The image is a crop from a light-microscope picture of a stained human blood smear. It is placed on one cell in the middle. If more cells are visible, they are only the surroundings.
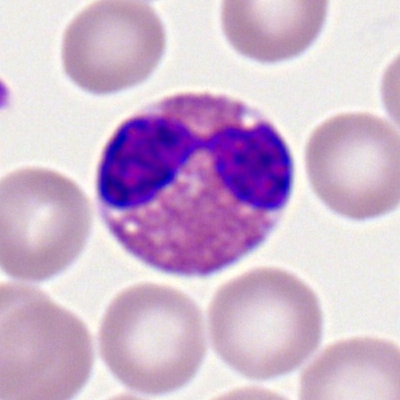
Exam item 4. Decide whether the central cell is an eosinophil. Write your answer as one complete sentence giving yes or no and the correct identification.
Yes, as for the central cell, it is an eosinophil.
